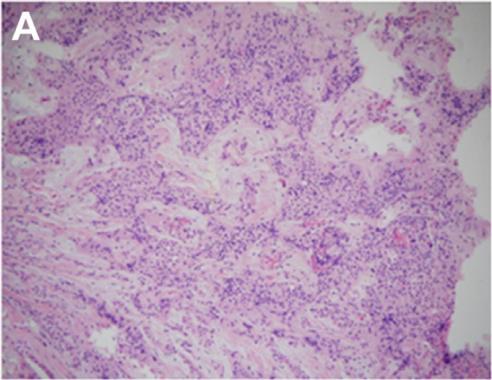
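At low power the tumor forms lobules of small round blue cells packed closely together. Strands of pink fibrous stroma carrying small vessels run between the lobules.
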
